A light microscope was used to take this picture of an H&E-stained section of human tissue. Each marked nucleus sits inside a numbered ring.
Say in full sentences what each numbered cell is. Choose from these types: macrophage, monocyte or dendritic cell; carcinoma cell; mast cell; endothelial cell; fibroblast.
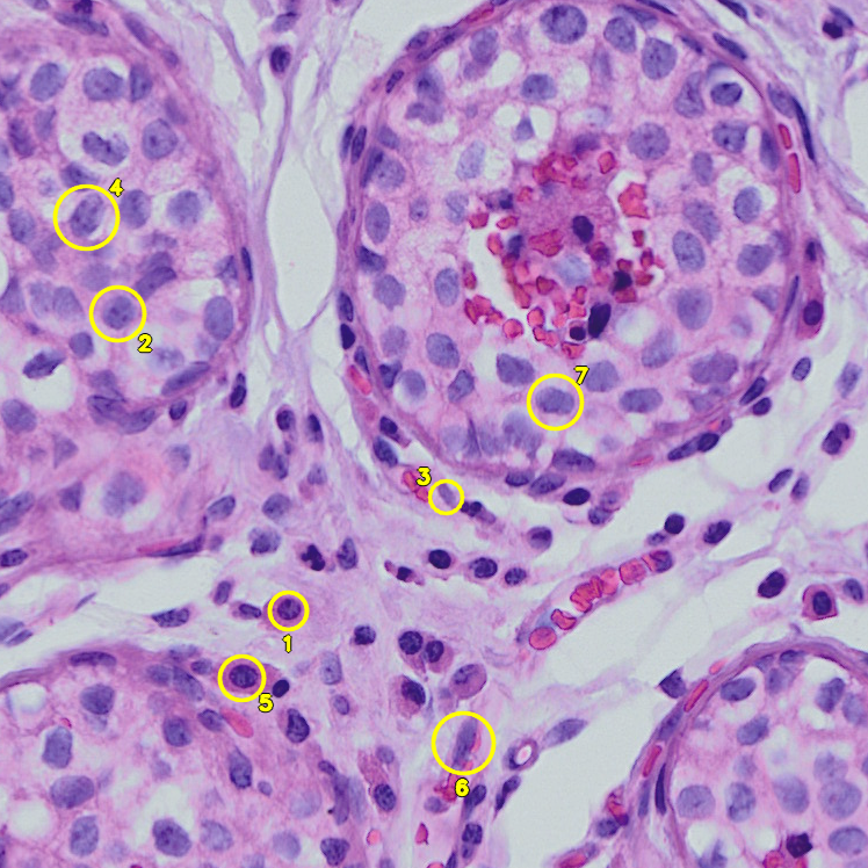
Cells 1 and 5 are mast cells. Cells 2, 4 and 7 are carcinoma cells. Cells 3 and 6 are endothelial cells.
